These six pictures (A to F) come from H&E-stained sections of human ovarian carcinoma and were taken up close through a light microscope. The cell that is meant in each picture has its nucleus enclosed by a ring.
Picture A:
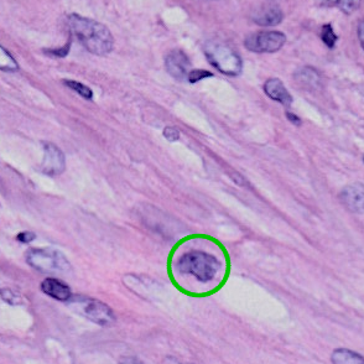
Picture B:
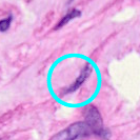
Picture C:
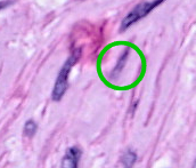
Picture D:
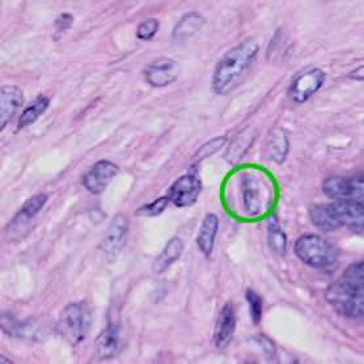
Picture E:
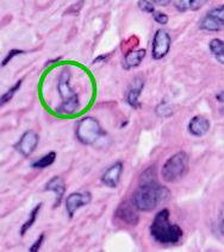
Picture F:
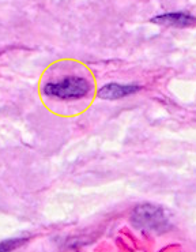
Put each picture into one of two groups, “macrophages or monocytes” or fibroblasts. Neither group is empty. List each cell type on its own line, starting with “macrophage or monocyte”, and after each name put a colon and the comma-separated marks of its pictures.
macrophage or monocyte: A, F
fibroblast: B, C, D, E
